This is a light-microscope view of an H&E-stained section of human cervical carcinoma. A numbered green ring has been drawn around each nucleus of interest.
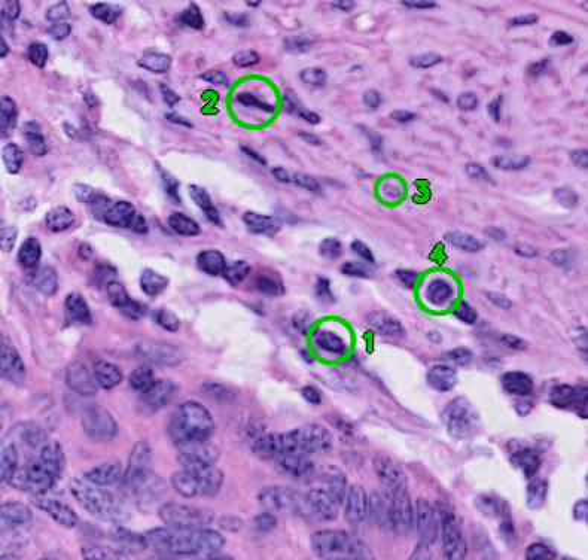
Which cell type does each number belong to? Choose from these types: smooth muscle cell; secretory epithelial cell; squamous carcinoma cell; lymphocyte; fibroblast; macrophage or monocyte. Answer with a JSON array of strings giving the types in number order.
["lymphocyte", "lymphocyte", "smooth muscle cell", "lymphocyte"]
